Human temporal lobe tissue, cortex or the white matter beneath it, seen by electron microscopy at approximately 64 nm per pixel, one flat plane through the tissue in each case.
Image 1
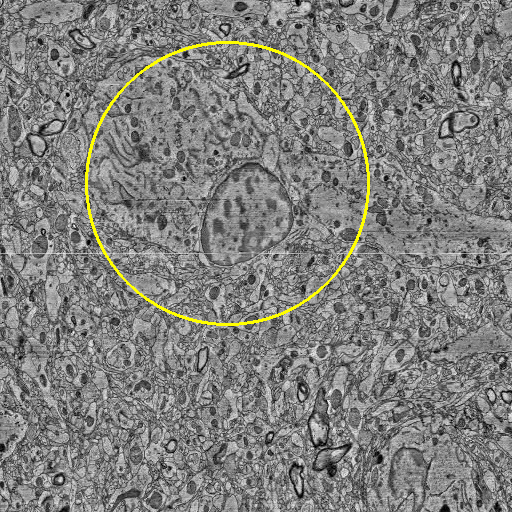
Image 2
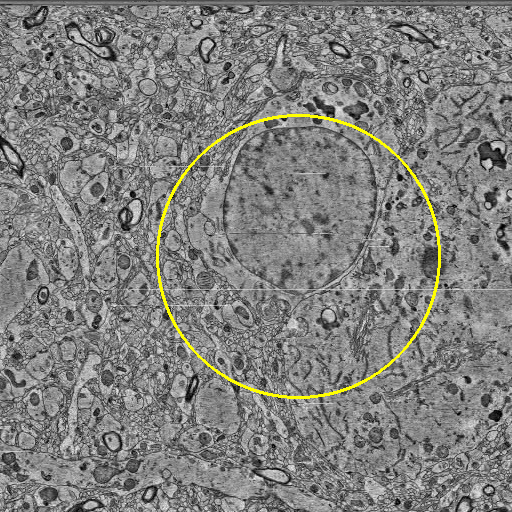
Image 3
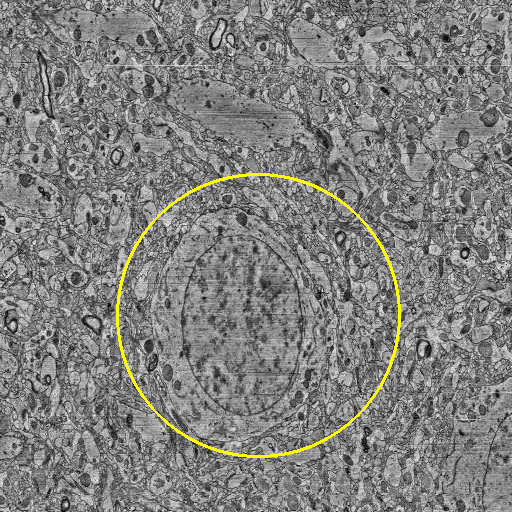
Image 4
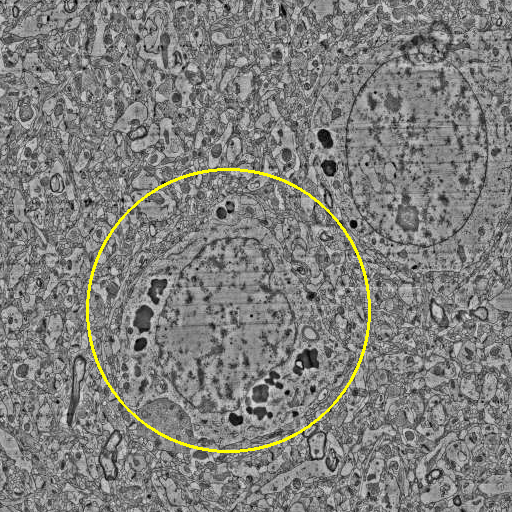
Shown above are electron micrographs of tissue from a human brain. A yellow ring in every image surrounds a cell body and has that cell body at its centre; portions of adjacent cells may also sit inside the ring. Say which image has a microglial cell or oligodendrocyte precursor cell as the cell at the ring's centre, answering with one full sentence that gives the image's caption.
The image whose ring is centred on the requested cell is Image 1.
